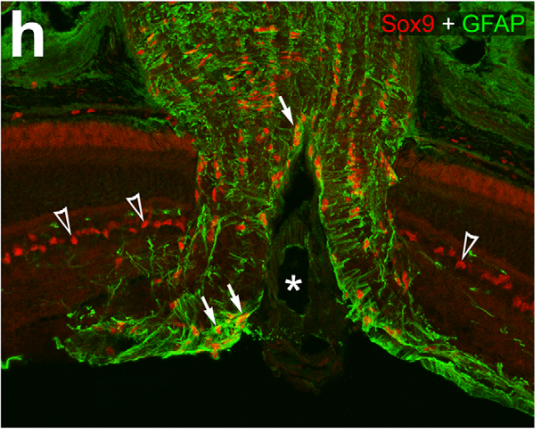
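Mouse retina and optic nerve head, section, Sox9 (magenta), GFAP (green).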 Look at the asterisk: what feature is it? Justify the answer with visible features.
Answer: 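A dark, empty lumen lies at the centre of the nerve head. That points to this answer: blood vessels.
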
